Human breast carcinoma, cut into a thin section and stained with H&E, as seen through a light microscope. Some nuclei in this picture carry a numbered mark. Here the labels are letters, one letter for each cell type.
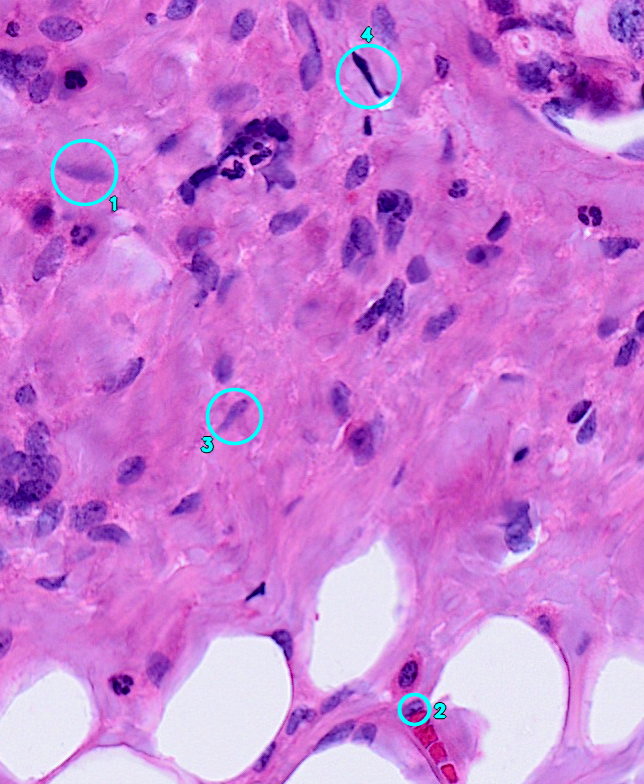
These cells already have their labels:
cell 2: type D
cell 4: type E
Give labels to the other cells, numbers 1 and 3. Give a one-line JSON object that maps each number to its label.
{"1": "type E", "3": "type E"}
